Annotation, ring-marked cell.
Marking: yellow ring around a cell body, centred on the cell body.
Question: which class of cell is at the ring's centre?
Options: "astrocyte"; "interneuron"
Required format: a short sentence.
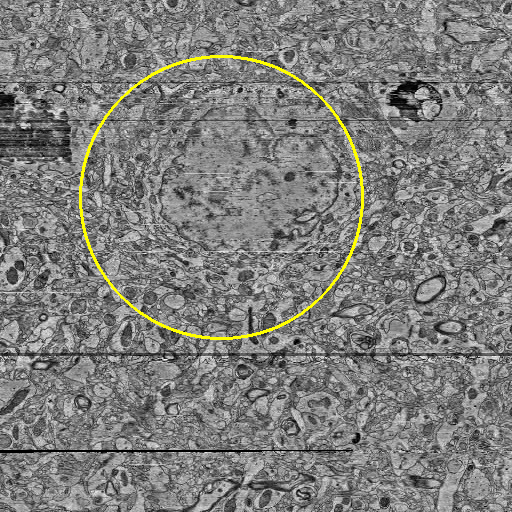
At the ring's centre is an interneuron.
